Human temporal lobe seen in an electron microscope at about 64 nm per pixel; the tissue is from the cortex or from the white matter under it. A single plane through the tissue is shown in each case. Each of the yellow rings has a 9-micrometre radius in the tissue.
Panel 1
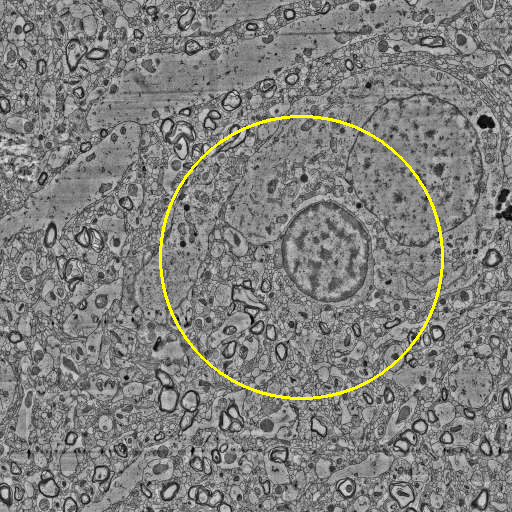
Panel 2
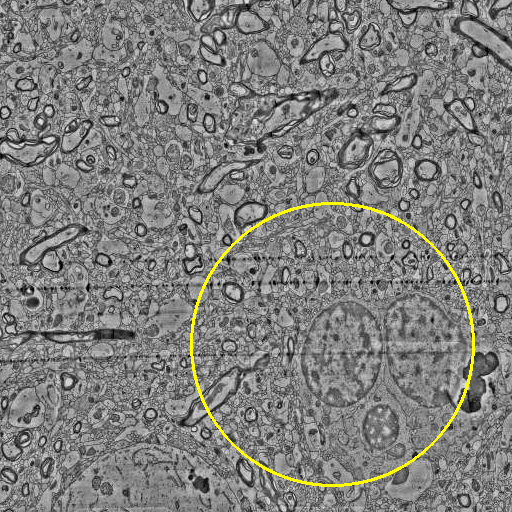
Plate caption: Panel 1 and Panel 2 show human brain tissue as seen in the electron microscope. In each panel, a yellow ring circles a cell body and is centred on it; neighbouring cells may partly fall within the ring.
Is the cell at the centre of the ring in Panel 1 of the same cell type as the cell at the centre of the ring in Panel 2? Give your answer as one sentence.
Yes, the two cells are of the same type.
